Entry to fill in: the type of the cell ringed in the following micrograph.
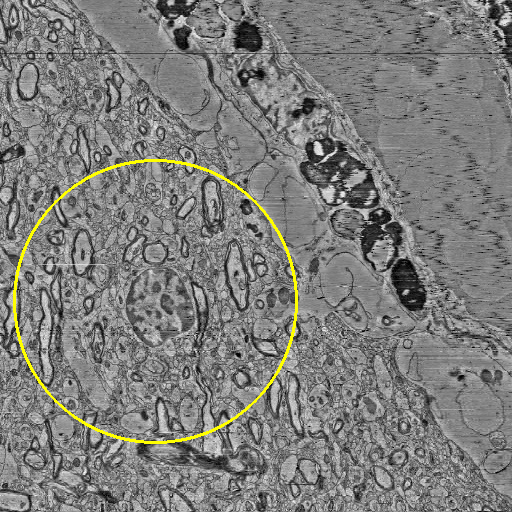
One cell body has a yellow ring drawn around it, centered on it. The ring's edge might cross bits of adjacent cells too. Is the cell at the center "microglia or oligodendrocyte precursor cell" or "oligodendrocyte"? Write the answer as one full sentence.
This entry names a microglial cell or oligodendrocyte precursor cell as the cell whose body lies at the ring's center.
